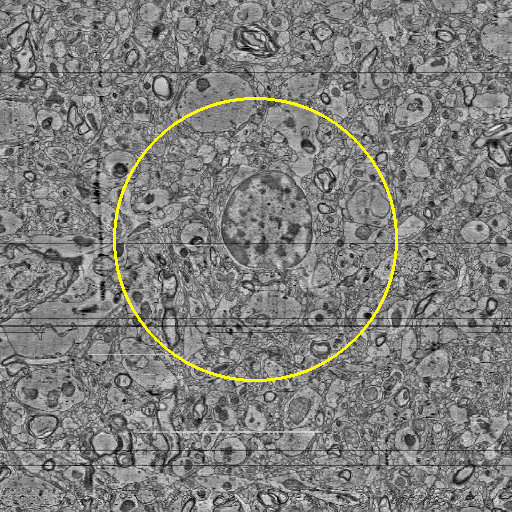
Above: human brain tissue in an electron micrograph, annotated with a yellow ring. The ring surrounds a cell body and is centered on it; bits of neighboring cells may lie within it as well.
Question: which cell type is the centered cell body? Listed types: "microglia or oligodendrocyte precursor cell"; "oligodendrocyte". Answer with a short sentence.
The centered cell body is a microglial cell or oligodendrocyte precursor cell.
